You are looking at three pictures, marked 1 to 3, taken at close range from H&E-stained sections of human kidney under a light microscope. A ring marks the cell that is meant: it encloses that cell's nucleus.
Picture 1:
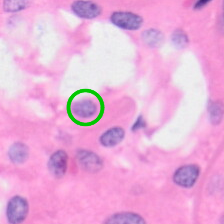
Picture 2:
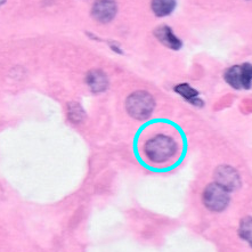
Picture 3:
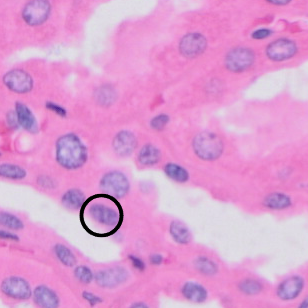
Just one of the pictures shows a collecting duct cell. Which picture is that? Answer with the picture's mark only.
3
